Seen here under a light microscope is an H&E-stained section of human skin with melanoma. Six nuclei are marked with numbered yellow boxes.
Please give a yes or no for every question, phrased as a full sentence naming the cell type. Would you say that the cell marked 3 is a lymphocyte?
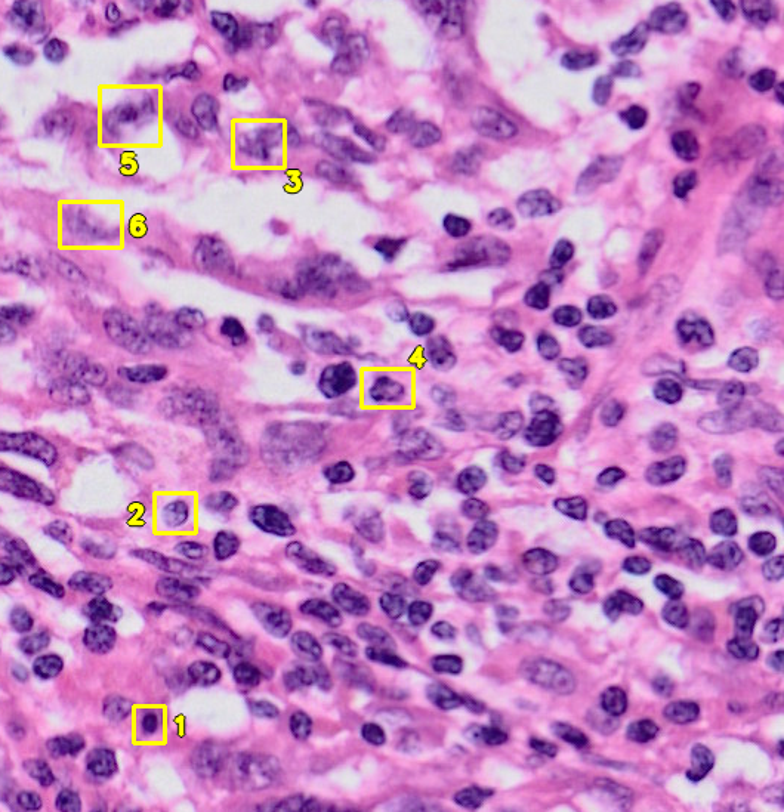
No, the cell marked 3 is a melanoma cell rather than a lymphocyte.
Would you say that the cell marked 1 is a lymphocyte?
Yes. The cell carrying number 1 is a lymphocyte.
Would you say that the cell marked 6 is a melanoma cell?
Yes, the cell sitting at number 6 is a melanoma cell.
